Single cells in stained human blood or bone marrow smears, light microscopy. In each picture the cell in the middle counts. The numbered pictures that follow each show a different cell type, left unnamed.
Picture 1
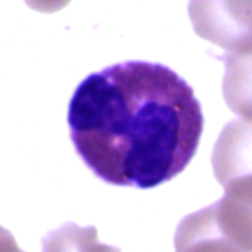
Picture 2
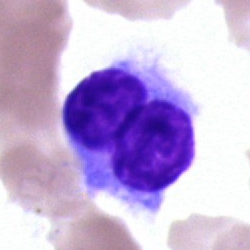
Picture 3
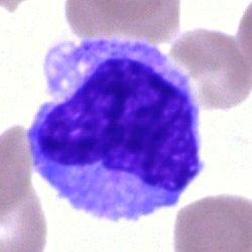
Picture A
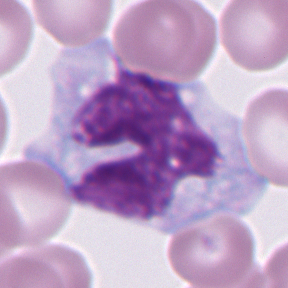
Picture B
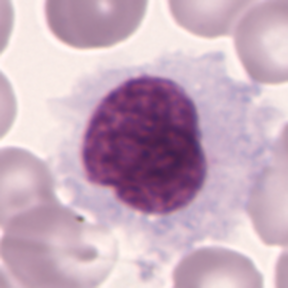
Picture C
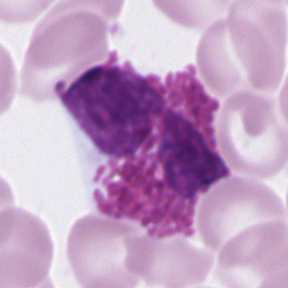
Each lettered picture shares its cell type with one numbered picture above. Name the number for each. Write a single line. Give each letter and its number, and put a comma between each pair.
A 3, B 2, C 1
